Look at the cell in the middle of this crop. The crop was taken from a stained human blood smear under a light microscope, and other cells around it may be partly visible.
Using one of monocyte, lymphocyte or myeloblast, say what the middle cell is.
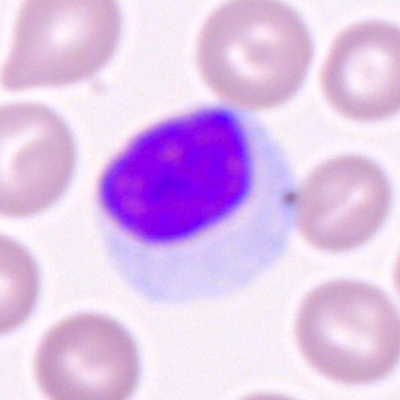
lymphocyte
